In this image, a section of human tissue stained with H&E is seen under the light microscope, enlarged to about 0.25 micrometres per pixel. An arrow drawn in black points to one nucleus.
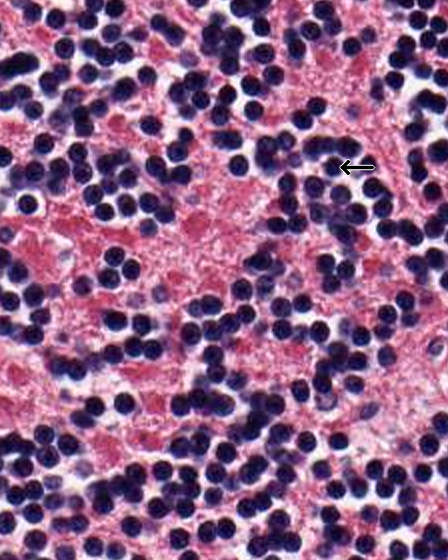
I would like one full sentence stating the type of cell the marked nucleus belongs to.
The cell containing the marked nucleus is a cerebellar granule cell.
